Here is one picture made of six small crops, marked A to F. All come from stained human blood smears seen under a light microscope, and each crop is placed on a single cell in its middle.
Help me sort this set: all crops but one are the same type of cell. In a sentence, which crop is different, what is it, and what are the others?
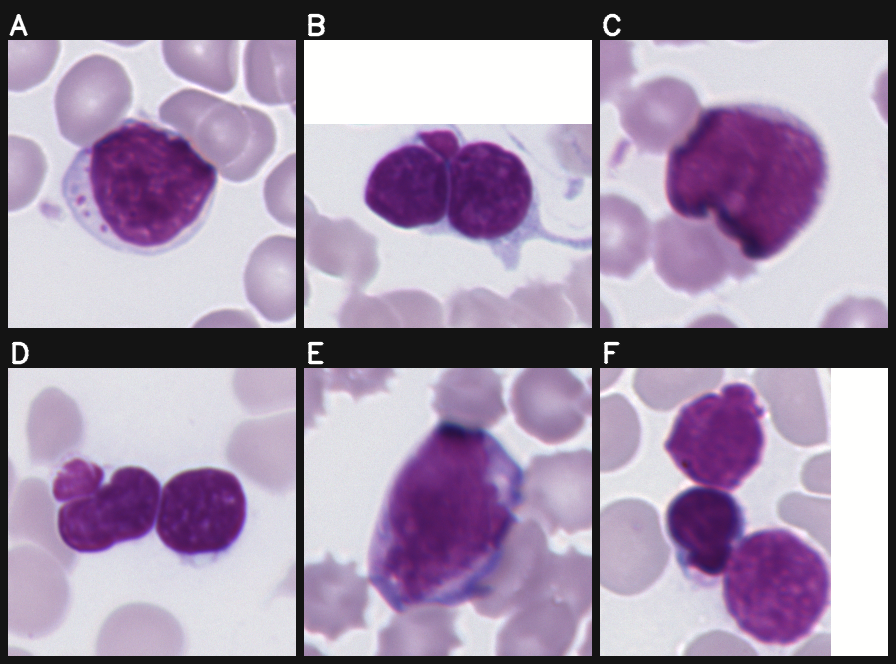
The odd one out is crop A, a large granular lymphocyte, and all other crops show myeloblasts.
